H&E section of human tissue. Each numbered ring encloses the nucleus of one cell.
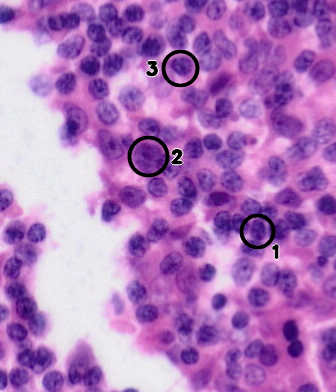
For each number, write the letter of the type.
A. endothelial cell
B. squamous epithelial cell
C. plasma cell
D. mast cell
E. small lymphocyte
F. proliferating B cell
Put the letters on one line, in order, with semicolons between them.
E; B; C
